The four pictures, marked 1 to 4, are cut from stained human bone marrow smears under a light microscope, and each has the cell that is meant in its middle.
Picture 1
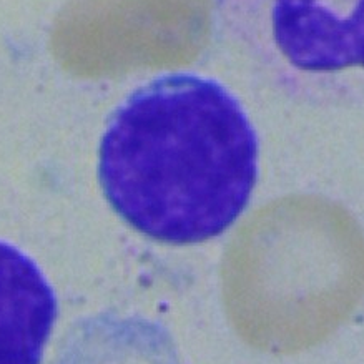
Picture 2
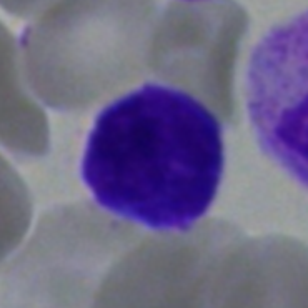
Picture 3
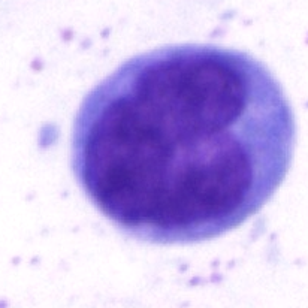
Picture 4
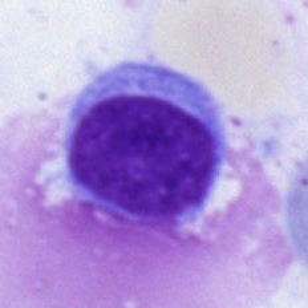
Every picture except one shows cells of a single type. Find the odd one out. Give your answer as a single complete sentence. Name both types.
The different one is picture 3; it shows a monocyte, whereas all the others show lymphocytes.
